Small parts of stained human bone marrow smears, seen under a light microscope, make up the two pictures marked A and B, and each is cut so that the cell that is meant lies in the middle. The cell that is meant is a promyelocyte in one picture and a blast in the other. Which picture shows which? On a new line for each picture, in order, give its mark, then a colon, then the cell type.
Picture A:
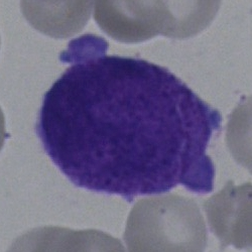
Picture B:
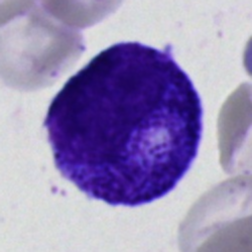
A: blast
B: promyelocyte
